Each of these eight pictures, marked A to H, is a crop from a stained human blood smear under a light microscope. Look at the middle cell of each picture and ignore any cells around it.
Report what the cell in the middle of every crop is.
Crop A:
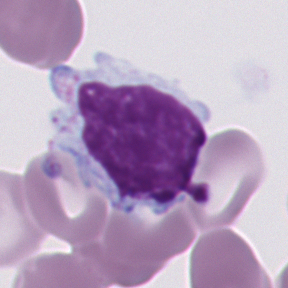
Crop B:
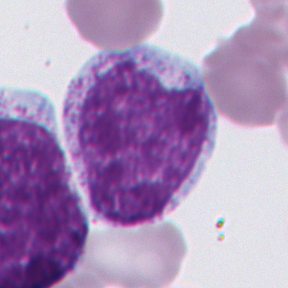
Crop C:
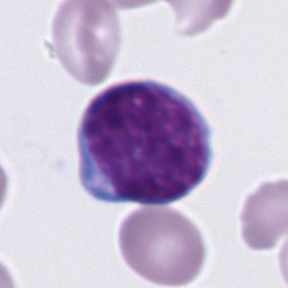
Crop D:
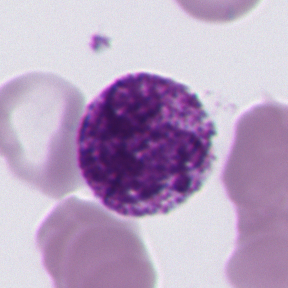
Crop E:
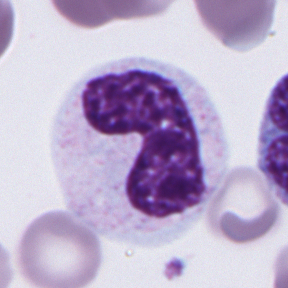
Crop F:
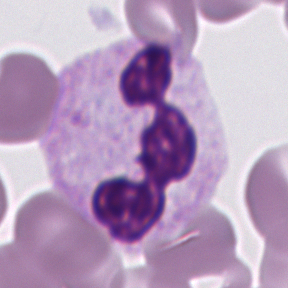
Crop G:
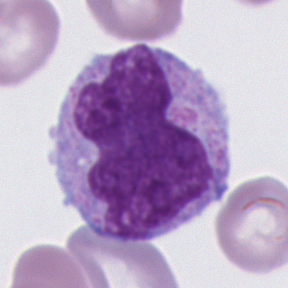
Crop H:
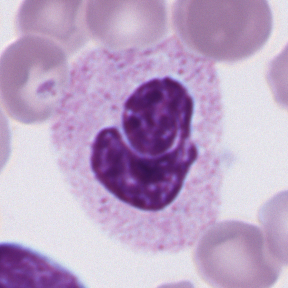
A: large granular lymphocyte
B: myelocyte
C: myeloblast
D: basophil
E: band neutrophil
F: segmented neutrophil
G: atypical promyelocyte
H: segmented neutrophil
